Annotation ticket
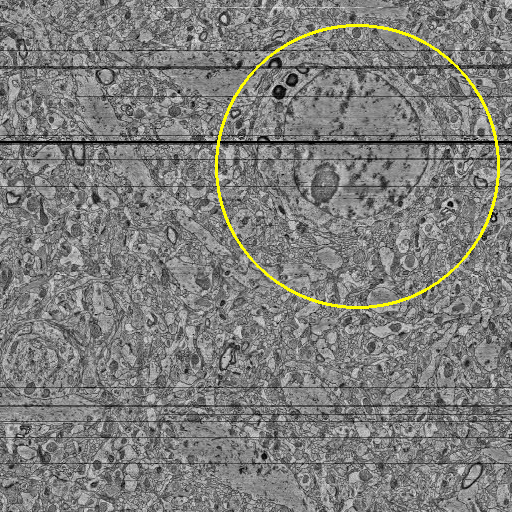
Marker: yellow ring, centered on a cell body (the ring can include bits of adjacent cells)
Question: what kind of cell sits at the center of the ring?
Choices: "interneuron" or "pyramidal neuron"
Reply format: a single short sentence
The ring is centered on a pyramidal neuron.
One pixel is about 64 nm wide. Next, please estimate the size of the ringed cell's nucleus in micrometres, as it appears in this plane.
Approximately 10 micrometres across in this plane.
